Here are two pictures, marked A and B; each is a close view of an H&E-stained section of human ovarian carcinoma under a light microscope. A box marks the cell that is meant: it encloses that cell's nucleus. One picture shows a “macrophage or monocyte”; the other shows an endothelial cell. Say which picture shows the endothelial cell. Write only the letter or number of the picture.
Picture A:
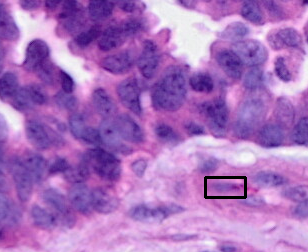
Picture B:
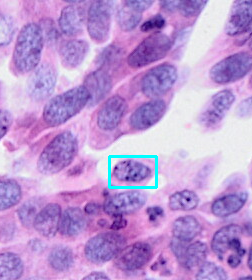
A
